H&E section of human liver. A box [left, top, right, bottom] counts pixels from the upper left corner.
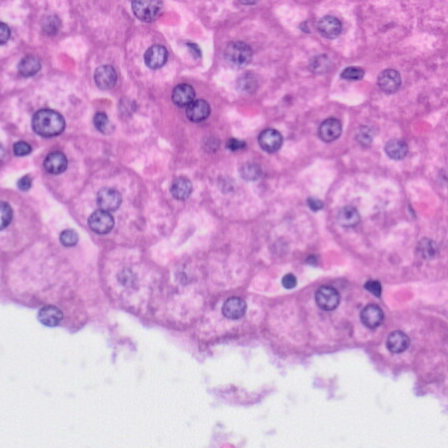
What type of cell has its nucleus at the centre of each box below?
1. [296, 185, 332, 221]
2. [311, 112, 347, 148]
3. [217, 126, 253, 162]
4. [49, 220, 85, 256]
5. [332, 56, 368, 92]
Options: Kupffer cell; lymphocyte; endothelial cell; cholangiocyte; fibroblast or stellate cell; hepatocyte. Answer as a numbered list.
1. fibroblast or stellate cell
2. hepatocyte
3. fibroblast or stellate cell
4. Kupffer cell
5. Kupffer cell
